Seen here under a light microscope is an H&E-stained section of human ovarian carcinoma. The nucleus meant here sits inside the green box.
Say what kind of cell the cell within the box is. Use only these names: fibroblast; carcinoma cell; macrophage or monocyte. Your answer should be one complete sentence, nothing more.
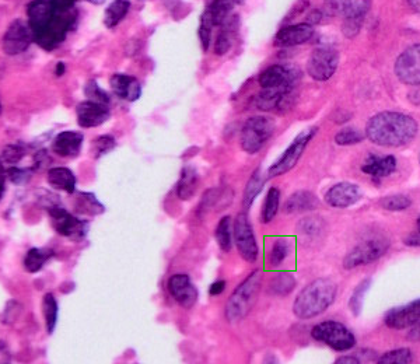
As a matter of cell type, the cell within the box is a carcinoma cell.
